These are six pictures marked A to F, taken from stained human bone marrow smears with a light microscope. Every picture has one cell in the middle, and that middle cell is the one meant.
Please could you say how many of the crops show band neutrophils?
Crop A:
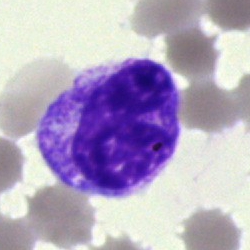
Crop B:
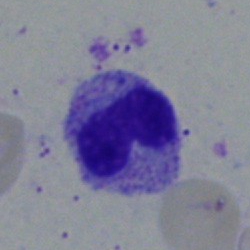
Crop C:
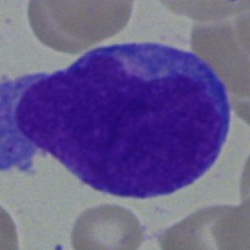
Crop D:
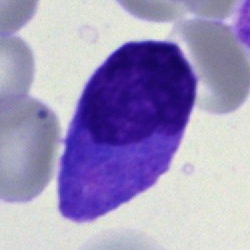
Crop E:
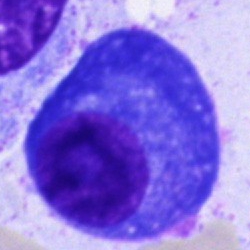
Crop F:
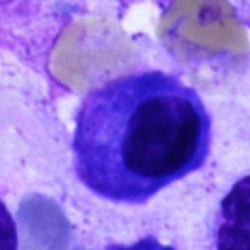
2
